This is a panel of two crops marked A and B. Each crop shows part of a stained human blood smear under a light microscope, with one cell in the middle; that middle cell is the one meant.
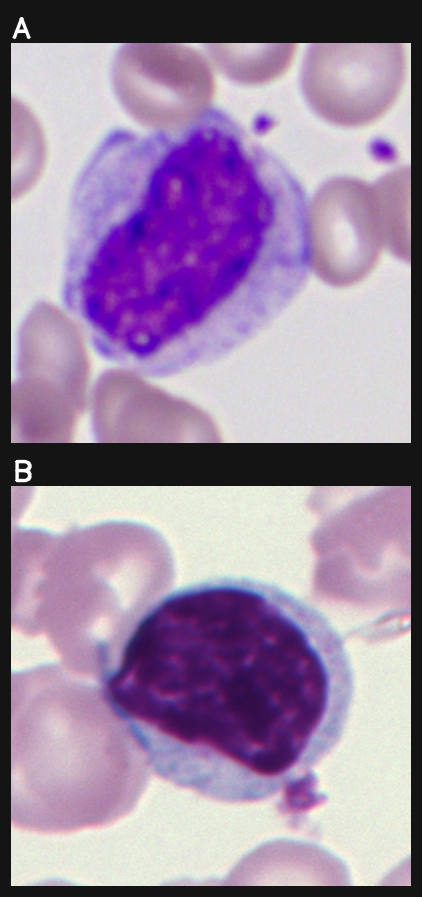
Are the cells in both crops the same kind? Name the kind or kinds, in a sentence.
No, a lymphocyte is the cell in crop B, and crop A contains a monocyte.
